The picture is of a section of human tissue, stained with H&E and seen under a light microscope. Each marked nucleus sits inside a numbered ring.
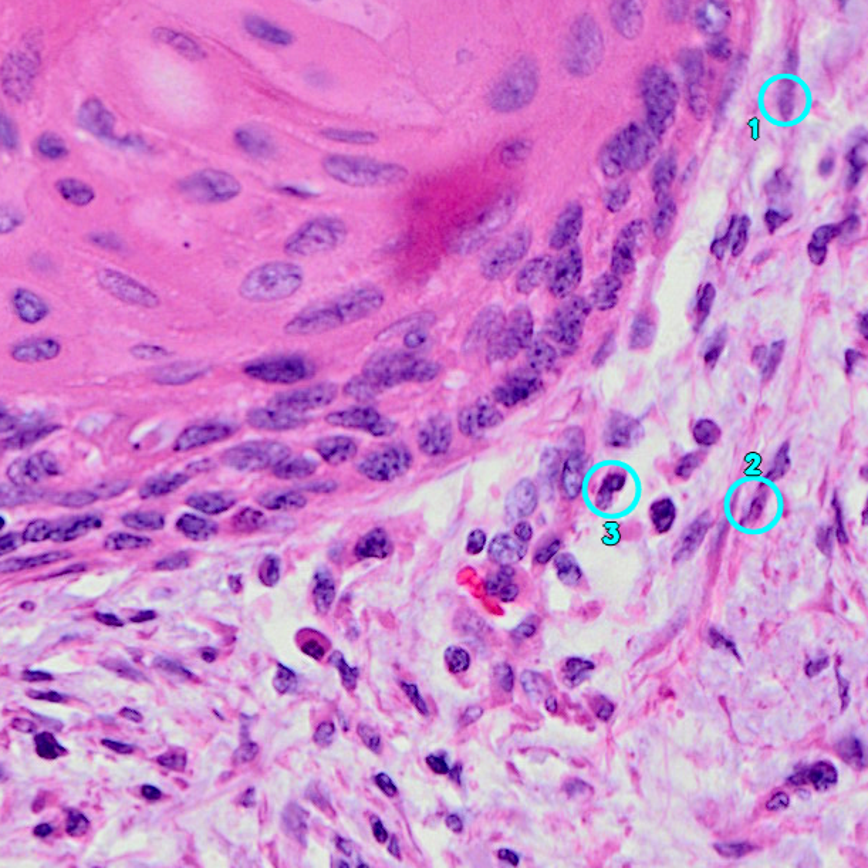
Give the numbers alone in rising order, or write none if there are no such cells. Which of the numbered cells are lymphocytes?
3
